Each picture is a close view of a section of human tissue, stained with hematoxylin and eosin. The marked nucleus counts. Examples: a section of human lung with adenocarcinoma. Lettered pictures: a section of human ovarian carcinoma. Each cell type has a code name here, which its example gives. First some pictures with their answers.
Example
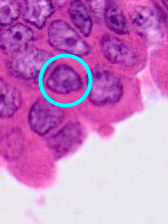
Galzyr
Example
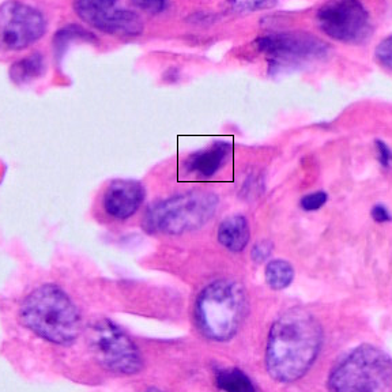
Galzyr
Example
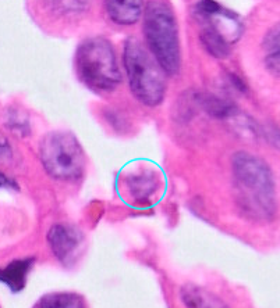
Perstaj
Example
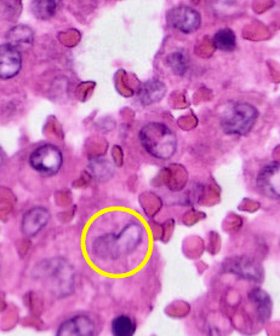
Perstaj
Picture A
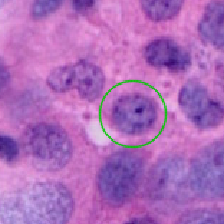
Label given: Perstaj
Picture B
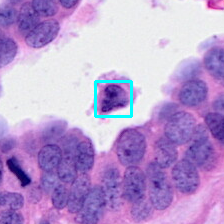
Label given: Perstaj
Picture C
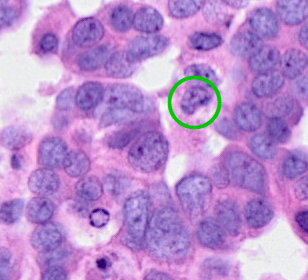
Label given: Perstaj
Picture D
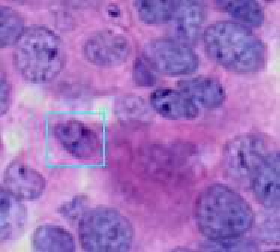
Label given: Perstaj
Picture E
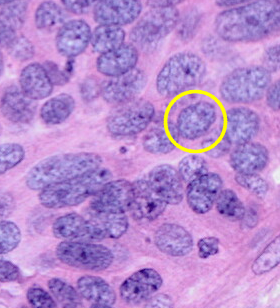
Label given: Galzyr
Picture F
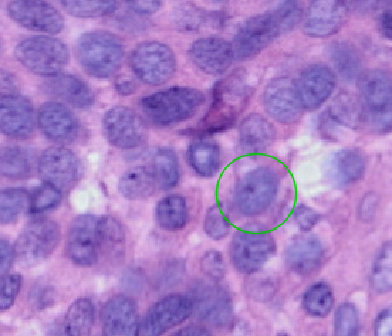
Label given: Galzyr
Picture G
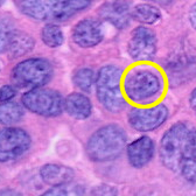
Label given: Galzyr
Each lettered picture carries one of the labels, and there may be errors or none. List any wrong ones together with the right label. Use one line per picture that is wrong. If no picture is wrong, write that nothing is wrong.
Nothing to fix; every label fits.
